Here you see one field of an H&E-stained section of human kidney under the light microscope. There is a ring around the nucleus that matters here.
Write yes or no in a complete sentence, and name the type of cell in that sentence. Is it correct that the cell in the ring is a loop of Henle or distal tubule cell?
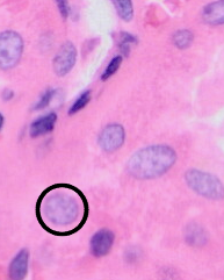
No, the cell in the ring is not a loop of Henle or distal tubule cell; the correct answer is a proximal tubule cell.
